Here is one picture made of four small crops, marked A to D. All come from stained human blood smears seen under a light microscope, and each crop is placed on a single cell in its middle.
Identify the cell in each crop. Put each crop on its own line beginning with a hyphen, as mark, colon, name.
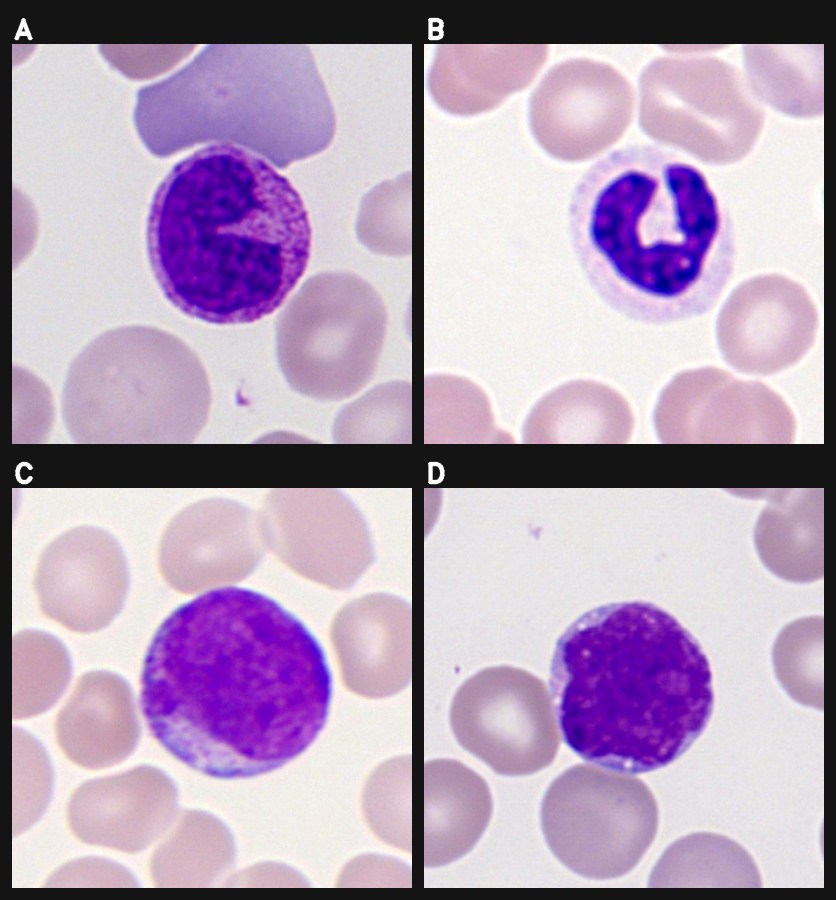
- A: basophil
- B: neutrophil
- C: blast
- D: blast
